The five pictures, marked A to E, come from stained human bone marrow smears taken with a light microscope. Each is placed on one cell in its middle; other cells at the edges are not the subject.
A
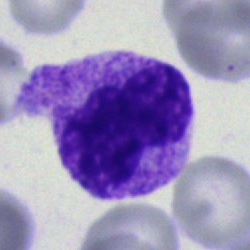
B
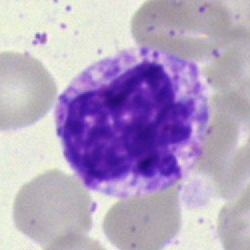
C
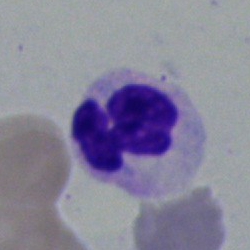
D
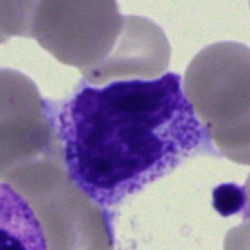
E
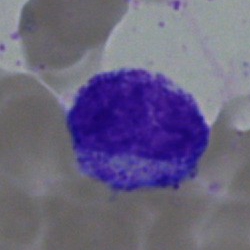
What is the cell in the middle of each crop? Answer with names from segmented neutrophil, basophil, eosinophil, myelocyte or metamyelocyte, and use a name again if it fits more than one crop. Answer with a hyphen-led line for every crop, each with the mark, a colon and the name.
- A: metamyelocyte
- B: basophil
- C: segmented neutrophil
- D: metamyelocyte
- E: myelocyte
